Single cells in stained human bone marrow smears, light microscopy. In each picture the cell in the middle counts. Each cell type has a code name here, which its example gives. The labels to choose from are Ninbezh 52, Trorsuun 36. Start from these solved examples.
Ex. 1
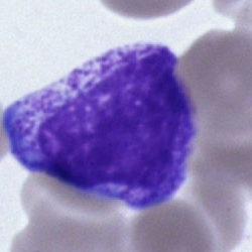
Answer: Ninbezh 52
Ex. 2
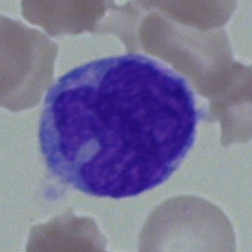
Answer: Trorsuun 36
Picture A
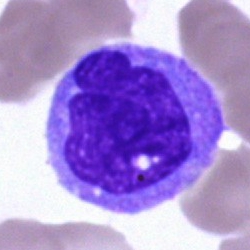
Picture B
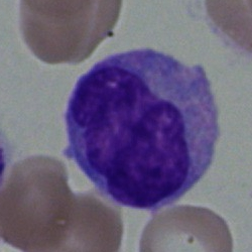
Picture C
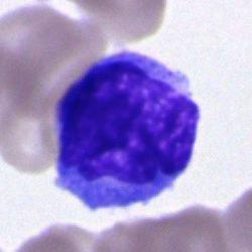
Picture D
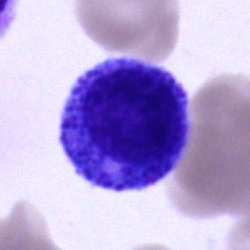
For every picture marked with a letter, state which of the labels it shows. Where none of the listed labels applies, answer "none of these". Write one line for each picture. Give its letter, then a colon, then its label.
A: Trorsuun 36
B: Trorsuun 36
C: Trorsuun 36
D: Ninbezh 52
